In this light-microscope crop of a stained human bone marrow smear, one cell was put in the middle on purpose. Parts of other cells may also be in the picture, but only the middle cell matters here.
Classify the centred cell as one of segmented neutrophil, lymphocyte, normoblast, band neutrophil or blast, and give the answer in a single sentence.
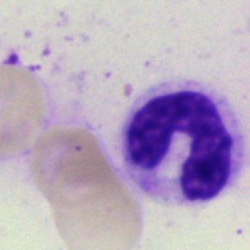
Seen at the centre of the crop is a band neutrophil.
